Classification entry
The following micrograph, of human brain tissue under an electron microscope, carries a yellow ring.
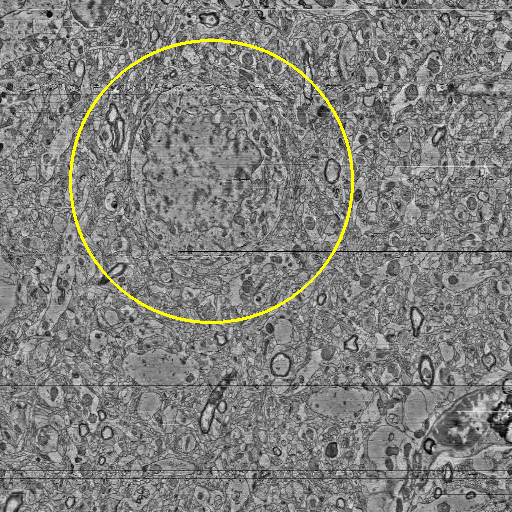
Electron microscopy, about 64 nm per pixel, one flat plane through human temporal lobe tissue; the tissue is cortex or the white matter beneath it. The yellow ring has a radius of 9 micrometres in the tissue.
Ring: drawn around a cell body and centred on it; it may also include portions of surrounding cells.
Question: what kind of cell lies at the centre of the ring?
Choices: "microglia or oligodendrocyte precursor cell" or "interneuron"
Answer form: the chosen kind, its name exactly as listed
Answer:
interneuron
